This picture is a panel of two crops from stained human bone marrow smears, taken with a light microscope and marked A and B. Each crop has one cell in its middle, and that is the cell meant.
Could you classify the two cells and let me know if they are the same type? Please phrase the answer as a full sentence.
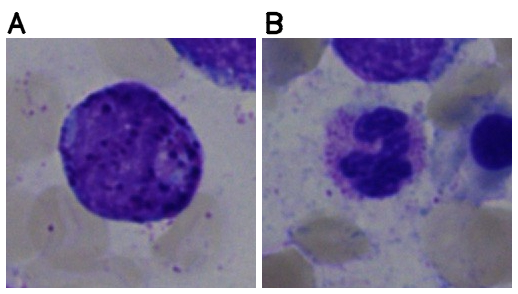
Yes, both crops show basophils, each crop centred on one of them.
